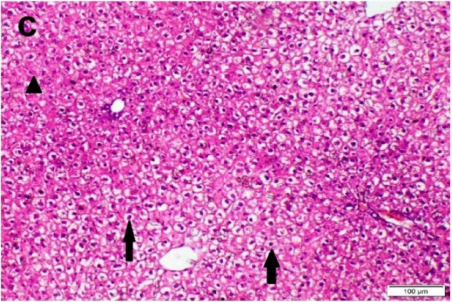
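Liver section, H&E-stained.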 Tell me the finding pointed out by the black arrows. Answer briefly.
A: hepatocellular degeneration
